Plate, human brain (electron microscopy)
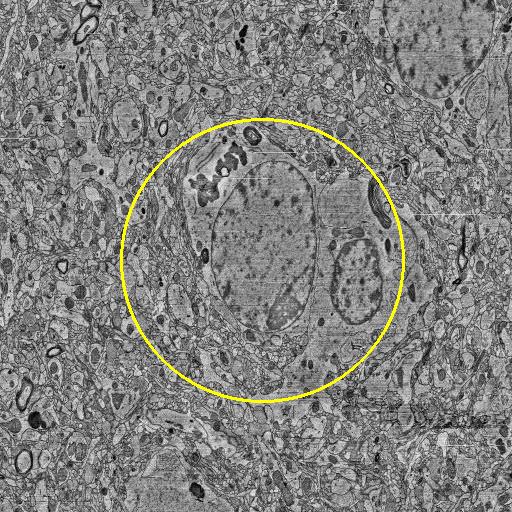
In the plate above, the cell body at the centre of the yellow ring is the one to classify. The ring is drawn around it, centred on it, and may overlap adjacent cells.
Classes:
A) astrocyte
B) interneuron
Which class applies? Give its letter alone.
A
